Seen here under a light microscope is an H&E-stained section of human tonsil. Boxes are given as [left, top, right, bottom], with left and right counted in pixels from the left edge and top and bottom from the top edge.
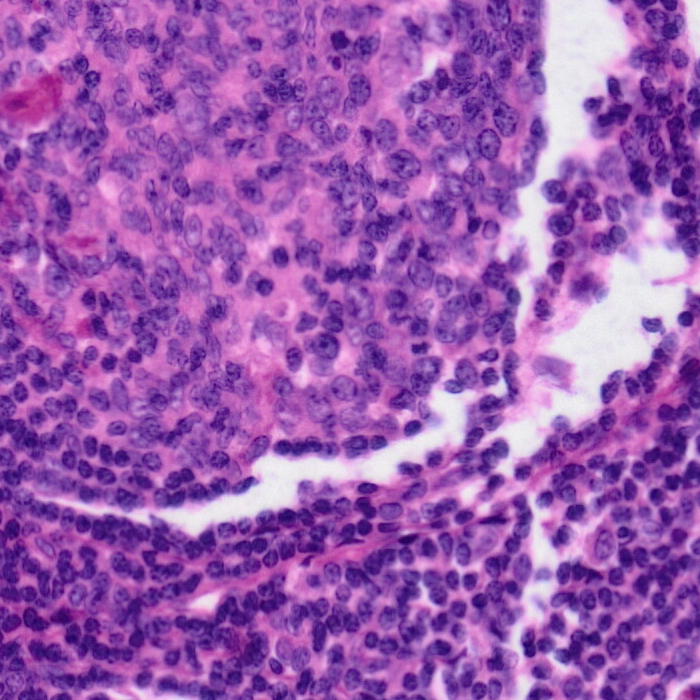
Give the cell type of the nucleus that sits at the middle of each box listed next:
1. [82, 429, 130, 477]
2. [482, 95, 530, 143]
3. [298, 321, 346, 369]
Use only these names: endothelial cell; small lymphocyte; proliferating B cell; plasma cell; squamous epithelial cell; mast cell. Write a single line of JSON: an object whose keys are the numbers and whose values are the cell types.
{"1": "small lymphocyte", "2": "proliferating B cell", "3": "proliferating B cell"}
